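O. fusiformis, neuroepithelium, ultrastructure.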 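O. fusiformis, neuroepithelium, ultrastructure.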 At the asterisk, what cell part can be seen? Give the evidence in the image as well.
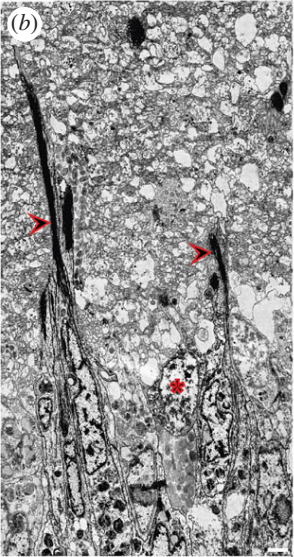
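The asterisk lies among elongated cell bodies with nuclei in the lower part. Dark processes run upward from the cell body layer.
Hence: glial cell somata.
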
